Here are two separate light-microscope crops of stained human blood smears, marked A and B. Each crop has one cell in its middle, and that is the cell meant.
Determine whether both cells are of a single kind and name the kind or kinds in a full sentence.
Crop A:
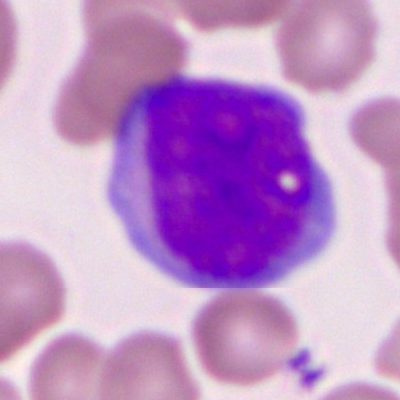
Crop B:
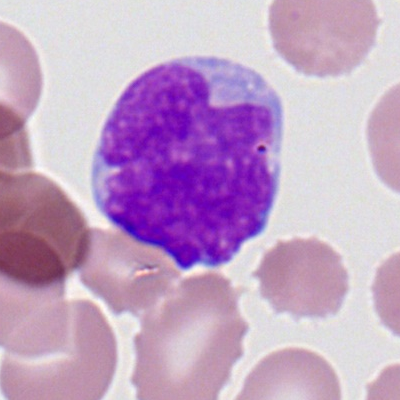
Yes, myeloblasts occupy the centre of both crops.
